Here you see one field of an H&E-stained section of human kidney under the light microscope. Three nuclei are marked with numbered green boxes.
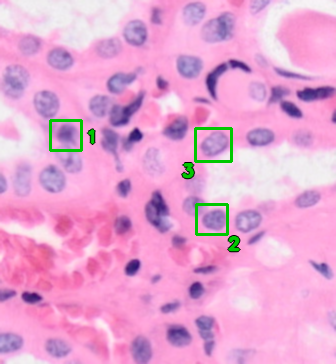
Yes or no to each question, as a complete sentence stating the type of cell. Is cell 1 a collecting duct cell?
Yes, the number 1 belongs to a collecting duct cell.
